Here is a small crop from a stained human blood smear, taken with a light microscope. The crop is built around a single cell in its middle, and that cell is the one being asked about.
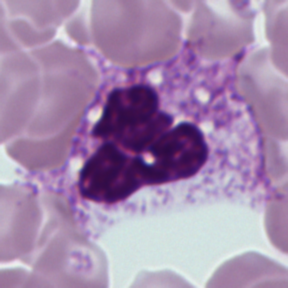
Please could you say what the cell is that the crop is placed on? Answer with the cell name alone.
segmented neutrophil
